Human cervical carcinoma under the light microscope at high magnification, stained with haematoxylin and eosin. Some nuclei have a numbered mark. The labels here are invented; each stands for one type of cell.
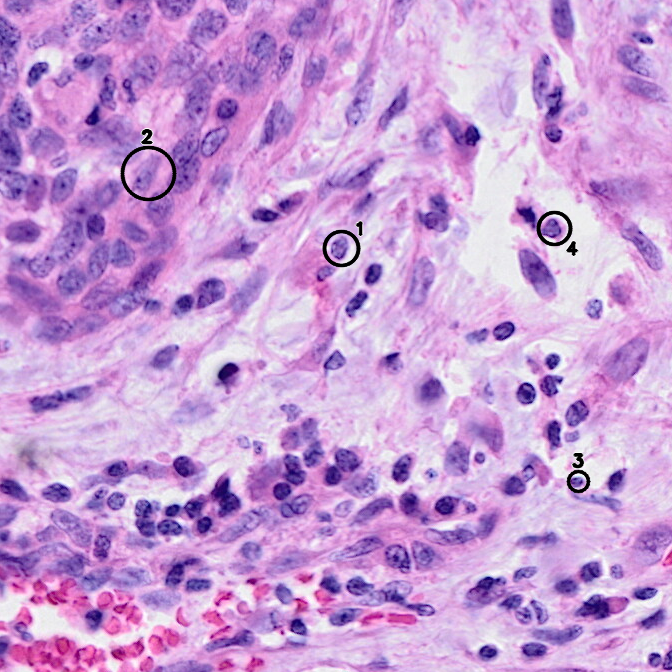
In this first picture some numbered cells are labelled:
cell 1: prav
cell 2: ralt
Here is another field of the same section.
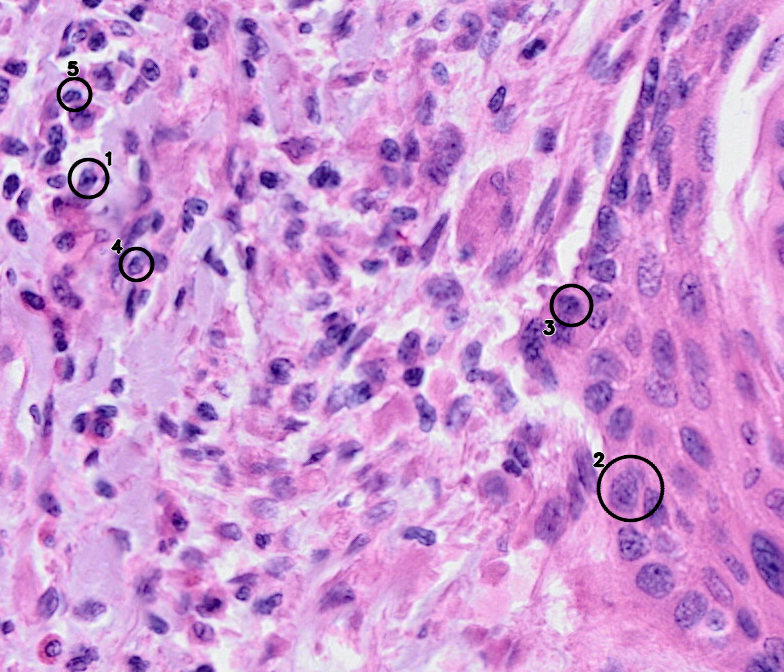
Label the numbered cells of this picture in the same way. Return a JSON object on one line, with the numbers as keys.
{"1": "prav", "2": "ralt", "3": "ralt", "4": "prav", "5": "prav"}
